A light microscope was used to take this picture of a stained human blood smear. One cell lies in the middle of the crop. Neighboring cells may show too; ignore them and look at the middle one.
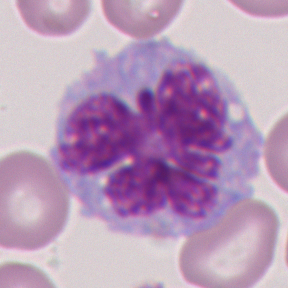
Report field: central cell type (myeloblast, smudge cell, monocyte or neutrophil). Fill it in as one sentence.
The cell at the middle of the frame should be recorded as a monocyte.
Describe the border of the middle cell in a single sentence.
The border of the cell is irregular, being either ragged or extended into projections.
